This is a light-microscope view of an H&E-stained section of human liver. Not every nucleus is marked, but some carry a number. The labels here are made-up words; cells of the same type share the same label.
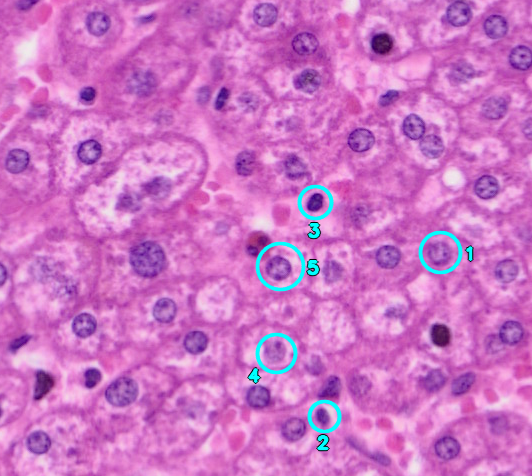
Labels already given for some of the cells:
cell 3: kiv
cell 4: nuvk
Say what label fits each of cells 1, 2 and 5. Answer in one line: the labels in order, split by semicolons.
nuvk; kiv; nuvk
